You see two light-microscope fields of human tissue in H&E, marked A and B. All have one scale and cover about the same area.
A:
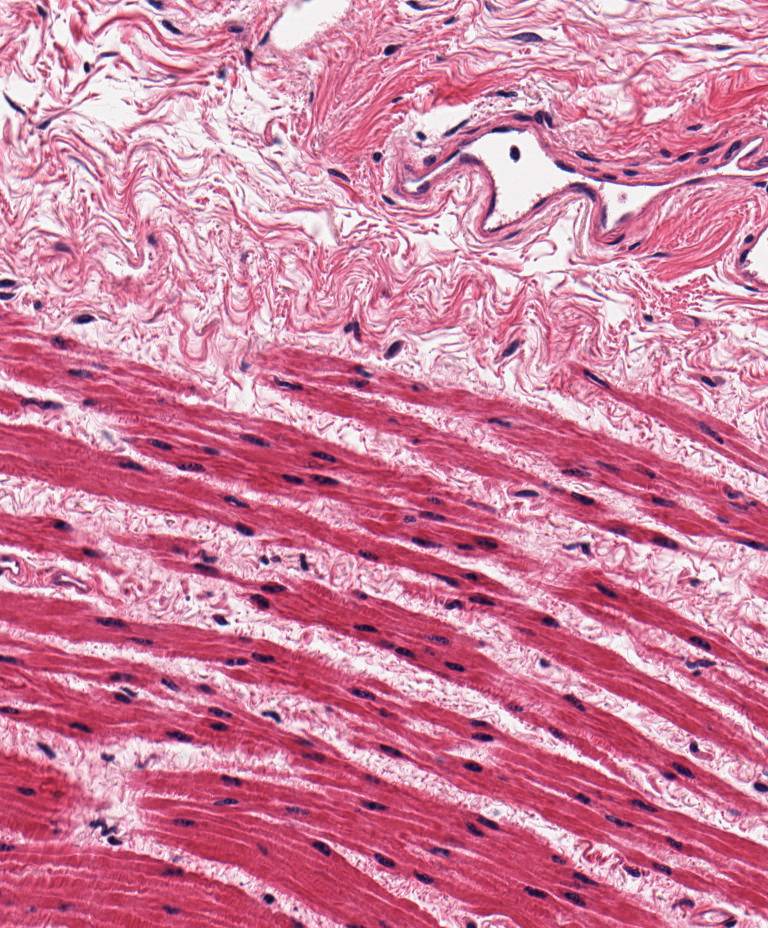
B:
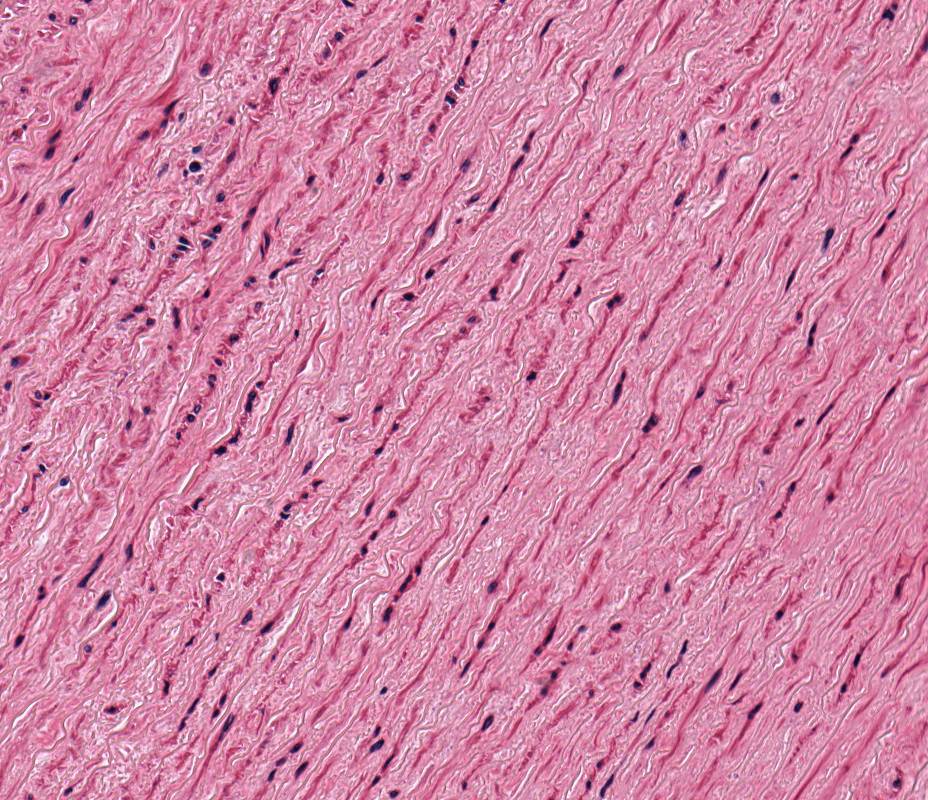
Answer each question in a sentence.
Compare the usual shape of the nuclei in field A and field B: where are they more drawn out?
It is field A whose nuclei are the more elongated.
